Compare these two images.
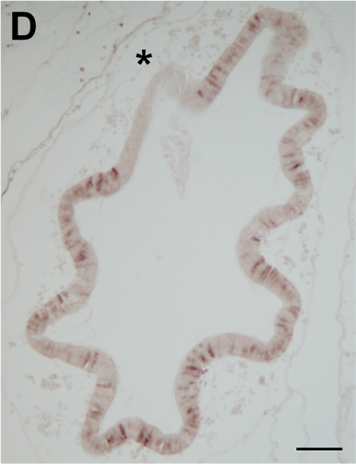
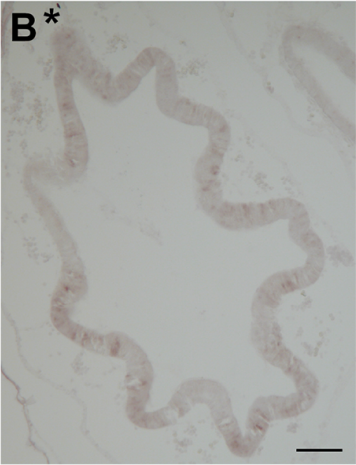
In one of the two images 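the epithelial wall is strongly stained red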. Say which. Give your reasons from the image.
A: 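The first image. First image: the folded epithelium shows many dark red patches. Second image: the folded epithelium is only pale pink with few darker spots.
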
